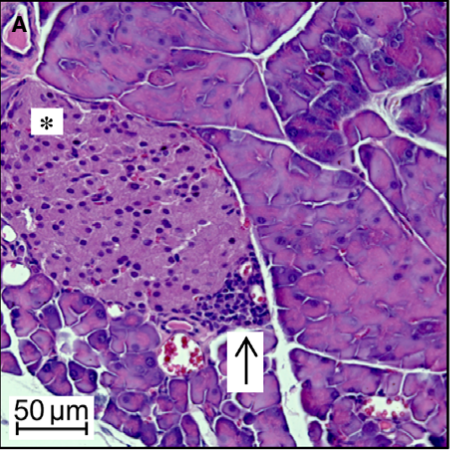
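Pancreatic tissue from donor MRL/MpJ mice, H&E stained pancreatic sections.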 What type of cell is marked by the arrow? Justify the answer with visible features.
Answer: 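A small tight group of cells with dark round nuclei and scant cytoplasm. The group sits at the edge of the pale cluster, near a blood vessel. That points to this answer: infiltrating immune cells.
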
